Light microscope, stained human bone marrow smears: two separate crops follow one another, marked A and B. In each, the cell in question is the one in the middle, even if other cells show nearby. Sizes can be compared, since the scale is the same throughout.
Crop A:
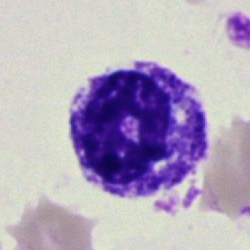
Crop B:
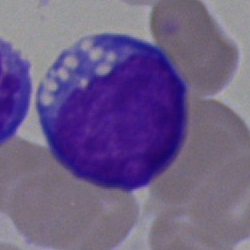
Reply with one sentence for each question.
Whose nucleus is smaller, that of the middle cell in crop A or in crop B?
It is the nucleus in crop A; the one in crop B has about 1.5 times its area.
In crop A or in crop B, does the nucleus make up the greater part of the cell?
The nucleus fills more of the cell in crop B than in crop A.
